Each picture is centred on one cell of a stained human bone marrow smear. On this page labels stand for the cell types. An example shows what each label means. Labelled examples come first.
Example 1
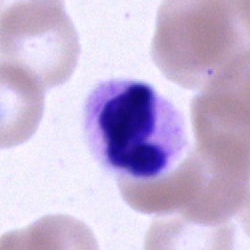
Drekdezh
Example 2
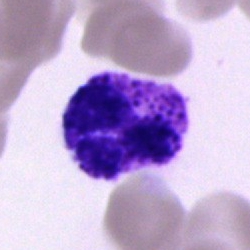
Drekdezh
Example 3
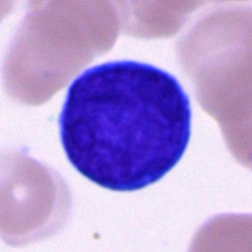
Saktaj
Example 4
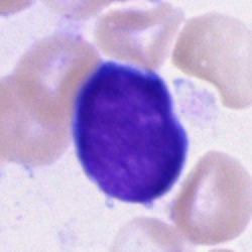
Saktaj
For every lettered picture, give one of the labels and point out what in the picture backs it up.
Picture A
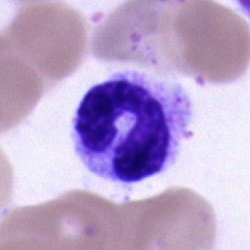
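Answer: Drekdezh. The nucleus is a thick curved band bent into a nearly closed ring around a small pale central hole.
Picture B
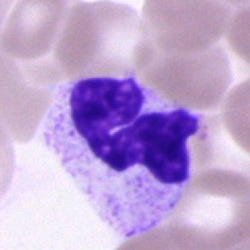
Answer: Drekdezh. The cytoplasm is abundant.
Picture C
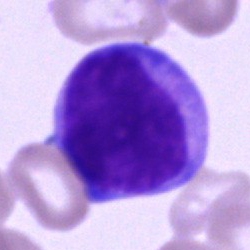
Answer: Saktaj. The cytoplasm forms only a narrow rim, widest on the right side.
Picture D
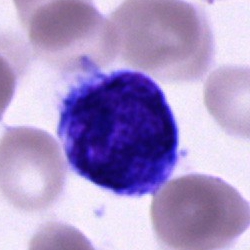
Answer: Saktaj. The cytoplasm is a scant deep blue rim, best seen along the left side.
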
